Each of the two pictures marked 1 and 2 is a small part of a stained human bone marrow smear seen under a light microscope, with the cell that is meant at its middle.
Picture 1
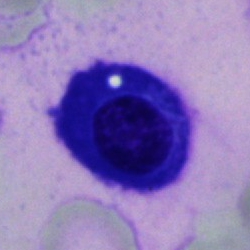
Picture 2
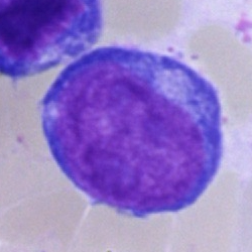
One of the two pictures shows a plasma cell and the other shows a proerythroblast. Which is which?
1: plasma cell
2: proerythroblast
